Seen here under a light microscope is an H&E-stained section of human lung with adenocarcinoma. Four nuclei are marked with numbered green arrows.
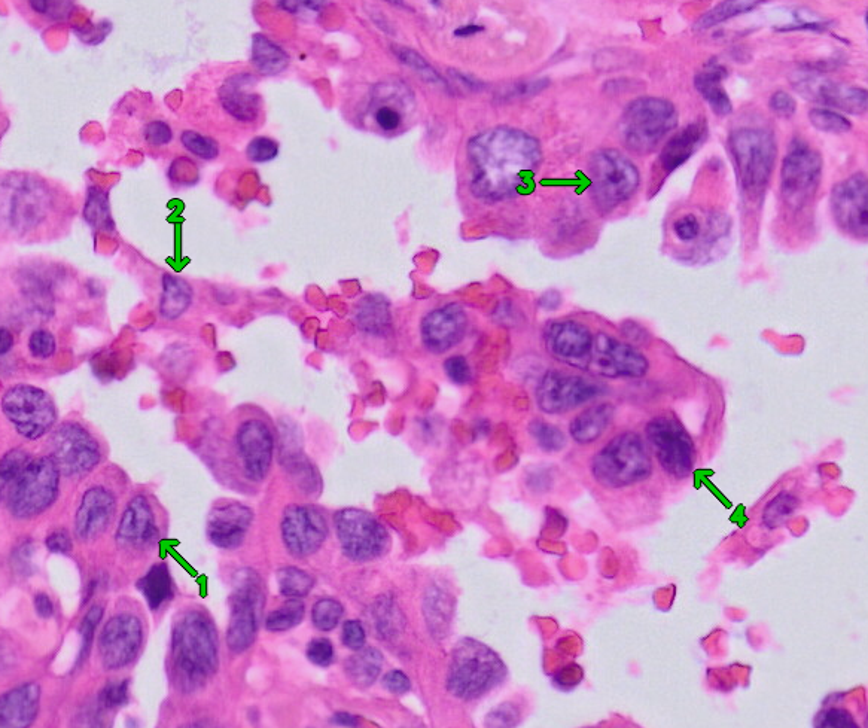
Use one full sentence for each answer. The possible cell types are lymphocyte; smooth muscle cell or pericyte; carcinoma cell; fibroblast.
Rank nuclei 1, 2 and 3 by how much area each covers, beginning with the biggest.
Going from the biggest nucleus down to the smallest gives 3, 1, 2.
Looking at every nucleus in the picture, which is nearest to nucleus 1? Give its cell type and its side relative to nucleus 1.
The nearest nucleus is that of a carcinoma cell and lies to the left of nucleus 1.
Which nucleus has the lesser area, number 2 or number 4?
Number 2 is smaller, since number 4 takes up about 2 times as much area.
